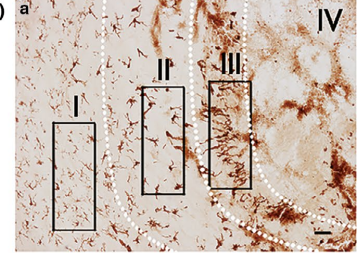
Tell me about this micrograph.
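This brain section shows brown-stained microglia/macrophages whose form changes across zones marked off by dashed lines. Far from the lesion on the left they are small cells with fine branching processes spaced evenly apart. Nearer the lesion they become larger and thicker, with fewer, shorter processes, and they are densely packed and elongated in a band at the lesion border.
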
